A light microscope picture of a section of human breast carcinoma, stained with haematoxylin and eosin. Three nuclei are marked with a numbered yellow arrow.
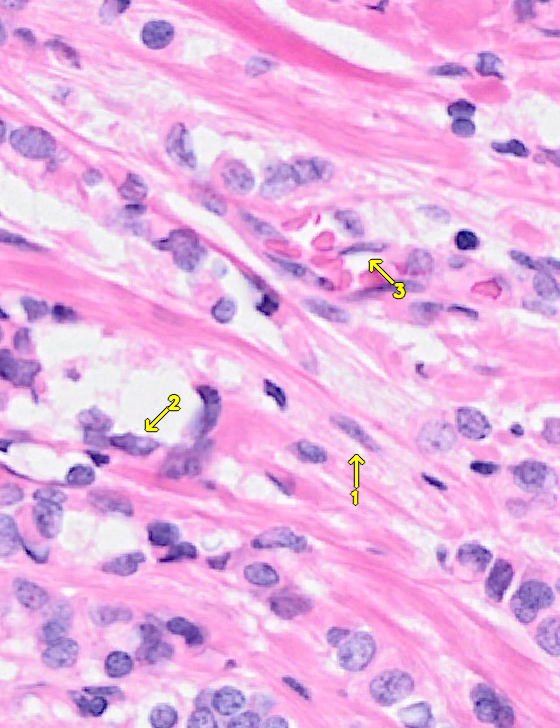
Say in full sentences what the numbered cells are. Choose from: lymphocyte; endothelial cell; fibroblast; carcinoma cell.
Cell 1 is a fibroblast, cell 2 is a carcinoma cell and cell 3 is an endothelial cell.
